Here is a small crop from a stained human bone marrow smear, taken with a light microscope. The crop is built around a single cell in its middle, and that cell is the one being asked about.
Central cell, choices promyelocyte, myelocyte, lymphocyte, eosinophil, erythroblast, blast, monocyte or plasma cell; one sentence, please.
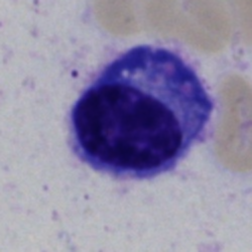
This particular crop is centered on a plasma cell.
